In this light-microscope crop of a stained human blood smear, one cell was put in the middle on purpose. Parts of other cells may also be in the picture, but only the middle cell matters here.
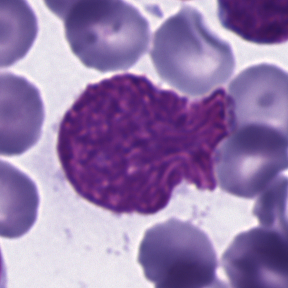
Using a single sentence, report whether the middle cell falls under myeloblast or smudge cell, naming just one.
Seen at the centre of the crop is a smudge cell.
